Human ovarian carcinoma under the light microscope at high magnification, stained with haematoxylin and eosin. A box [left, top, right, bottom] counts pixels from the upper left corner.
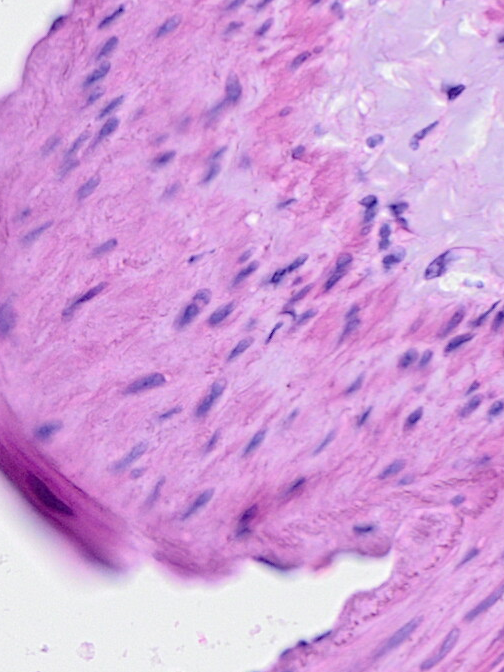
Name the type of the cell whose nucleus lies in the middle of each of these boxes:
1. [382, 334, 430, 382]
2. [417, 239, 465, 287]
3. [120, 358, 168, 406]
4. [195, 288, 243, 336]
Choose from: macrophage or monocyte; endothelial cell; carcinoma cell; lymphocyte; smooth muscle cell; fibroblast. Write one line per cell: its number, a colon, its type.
1: smooth muscle cell
2: fibroblast
3: smooth muscle cell
4: smooth muscle cell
